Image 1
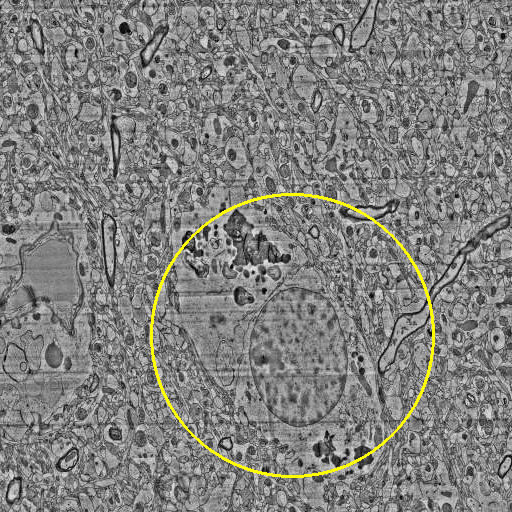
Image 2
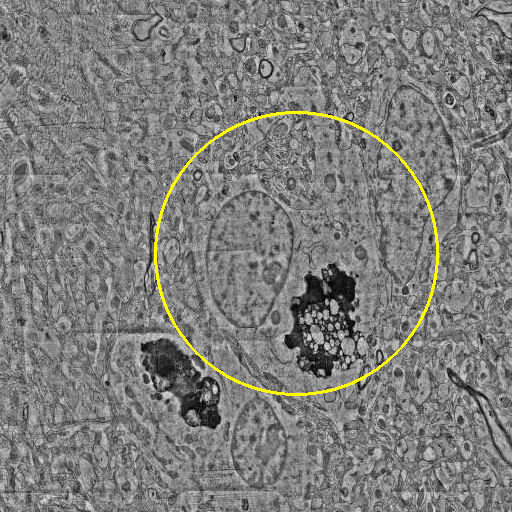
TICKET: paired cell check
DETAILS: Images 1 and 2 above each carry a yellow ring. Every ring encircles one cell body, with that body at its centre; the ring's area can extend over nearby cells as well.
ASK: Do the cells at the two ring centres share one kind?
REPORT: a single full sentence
Yes, the ring-centre cells of Images 1 and 2 belong to a single kind.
